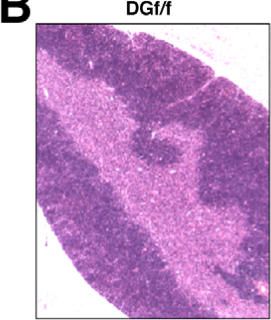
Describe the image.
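This is a low-power hematoxylin and eosin section through one lobe of the thymus. The tissue is packed with small lymphoid cells whose nuclei stain deep purple. These cells form a dense dark outer band along the edge of the lobe. Inside it lies a paler, pinker central region where the cells are less crowded. The pale centre has an irregular, branching outline and extends into the dark outer band. The border between the dark and the pale zones is clear, so the organ's division into an outer and an inner compartment shows plainly at this magnification.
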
